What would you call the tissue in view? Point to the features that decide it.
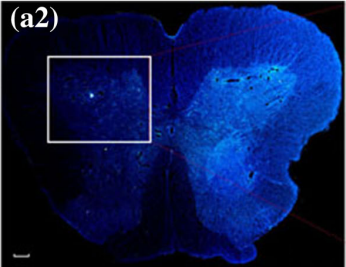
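Spinal cord. A whole transverse section with a butterfly-shaped central gray area. A midline fissure divides the section into two halves.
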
